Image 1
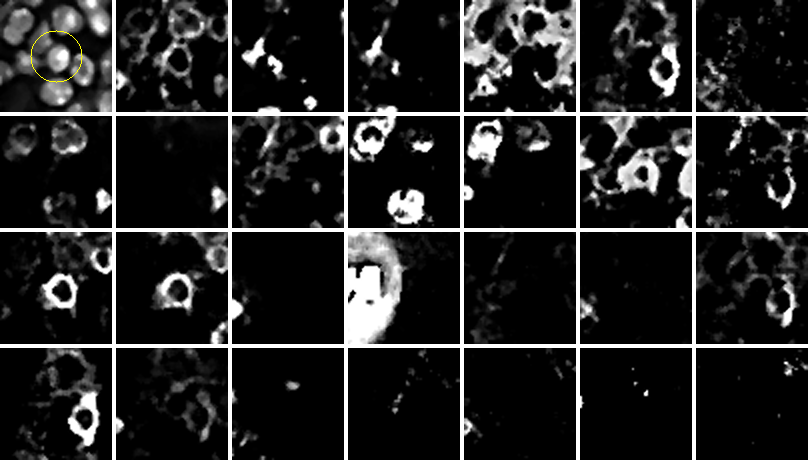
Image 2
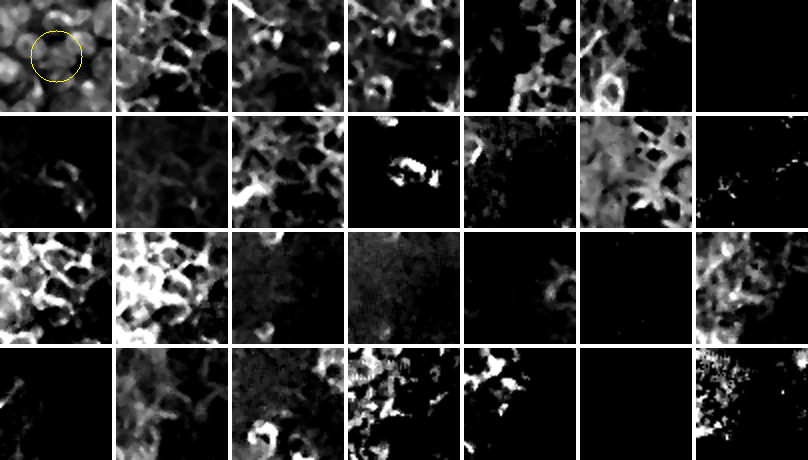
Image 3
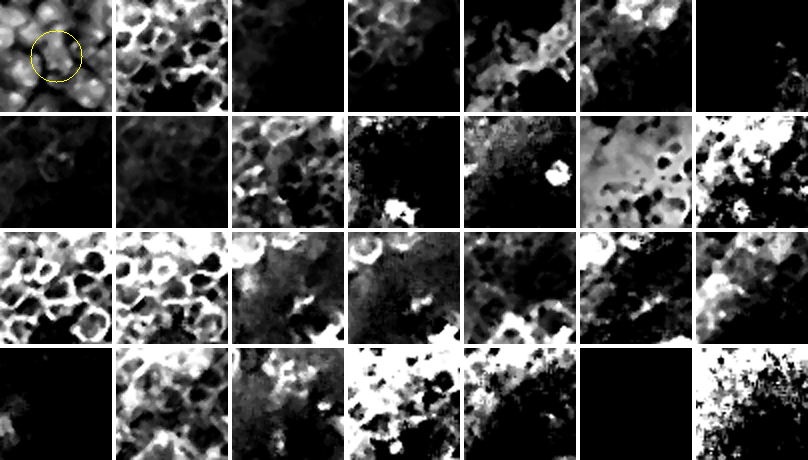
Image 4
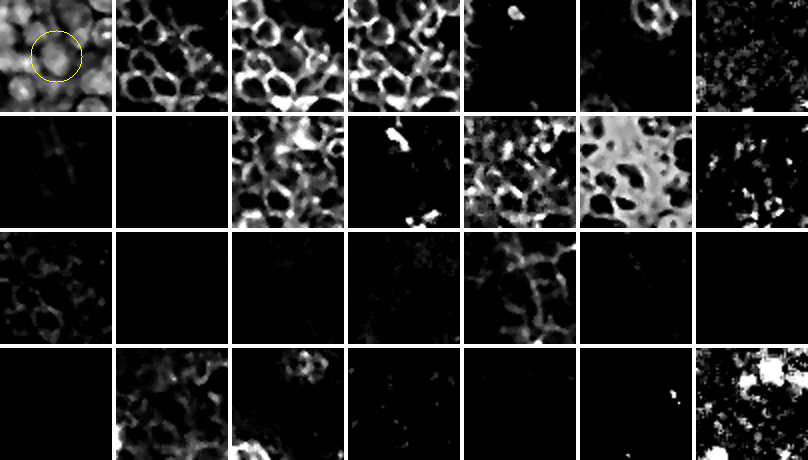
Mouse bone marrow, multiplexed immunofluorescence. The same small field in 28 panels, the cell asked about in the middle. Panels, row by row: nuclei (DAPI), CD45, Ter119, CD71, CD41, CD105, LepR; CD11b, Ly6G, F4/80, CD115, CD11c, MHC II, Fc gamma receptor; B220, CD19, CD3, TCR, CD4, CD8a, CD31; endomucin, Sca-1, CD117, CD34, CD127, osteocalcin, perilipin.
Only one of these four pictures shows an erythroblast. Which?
Picture 4.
